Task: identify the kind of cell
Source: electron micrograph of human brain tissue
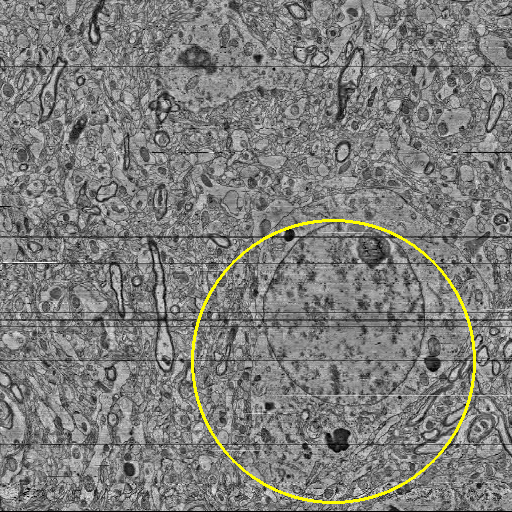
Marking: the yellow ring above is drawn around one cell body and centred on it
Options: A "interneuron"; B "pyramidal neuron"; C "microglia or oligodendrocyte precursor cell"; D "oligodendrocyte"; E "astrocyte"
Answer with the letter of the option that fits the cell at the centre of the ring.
B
